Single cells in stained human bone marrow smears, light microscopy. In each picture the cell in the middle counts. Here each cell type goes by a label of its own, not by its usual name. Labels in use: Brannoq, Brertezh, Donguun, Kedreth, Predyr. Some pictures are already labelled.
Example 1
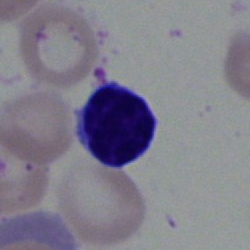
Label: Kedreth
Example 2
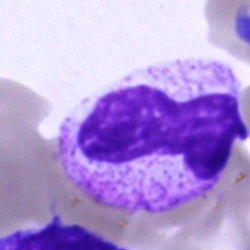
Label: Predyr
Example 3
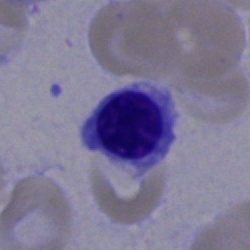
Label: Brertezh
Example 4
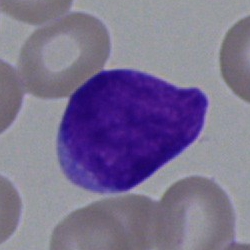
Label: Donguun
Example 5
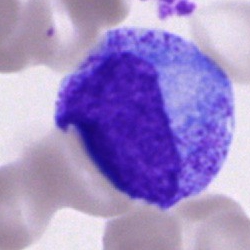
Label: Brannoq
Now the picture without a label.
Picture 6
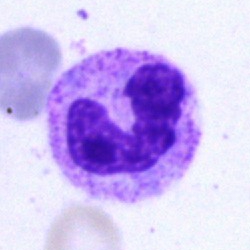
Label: Predyr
